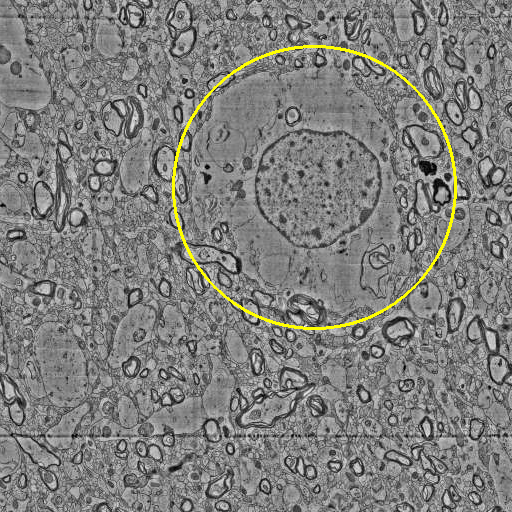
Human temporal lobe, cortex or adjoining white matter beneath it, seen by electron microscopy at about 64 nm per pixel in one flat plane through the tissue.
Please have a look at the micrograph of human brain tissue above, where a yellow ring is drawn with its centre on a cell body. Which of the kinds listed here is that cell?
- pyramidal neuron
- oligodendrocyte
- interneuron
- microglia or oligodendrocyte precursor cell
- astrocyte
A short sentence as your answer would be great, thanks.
At the centre of the ring sits an astrocyte.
